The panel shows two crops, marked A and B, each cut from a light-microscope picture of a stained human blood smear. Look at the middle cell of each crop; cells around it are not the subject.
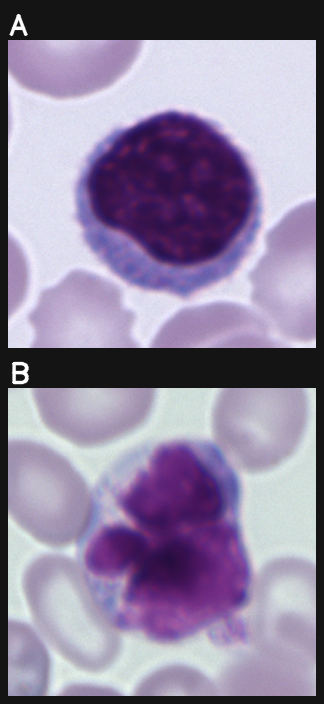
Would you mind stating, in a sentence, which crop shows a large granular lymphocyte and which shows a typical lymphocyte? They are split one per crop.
In crop A the cell is a typical lymphocyte, while in crop B it is a large granular lymphocyte.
